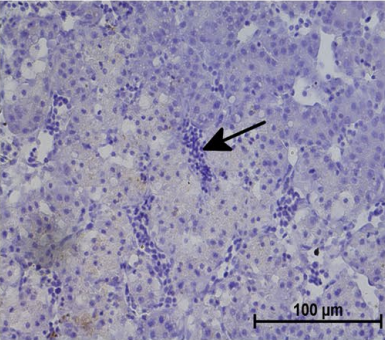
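In the middle of the field lies a small dense cluster of small, dark, round nuclei, a focus of lymphocytes among the hepatocytes. Brown staining is only faint.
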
